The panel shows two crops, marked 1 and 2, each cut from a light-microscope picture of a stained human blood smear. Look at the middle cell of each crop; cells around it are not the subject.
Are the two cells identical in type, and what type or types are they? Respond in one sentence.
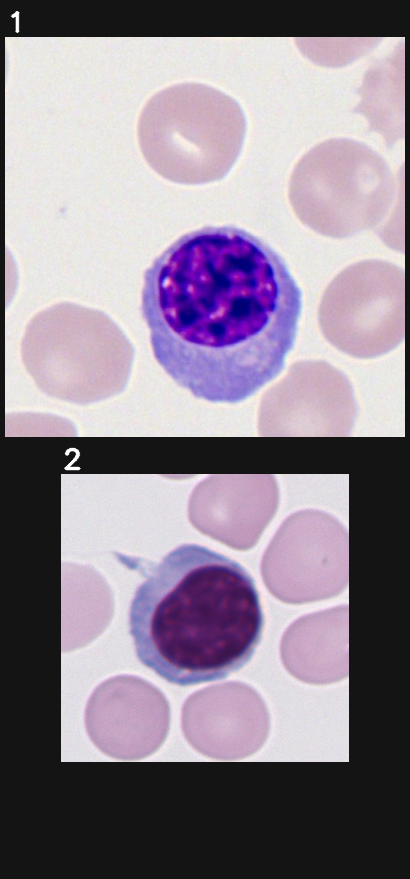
No, crop 1 matches a normoblast and crop 2 matches a lymphocyte.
